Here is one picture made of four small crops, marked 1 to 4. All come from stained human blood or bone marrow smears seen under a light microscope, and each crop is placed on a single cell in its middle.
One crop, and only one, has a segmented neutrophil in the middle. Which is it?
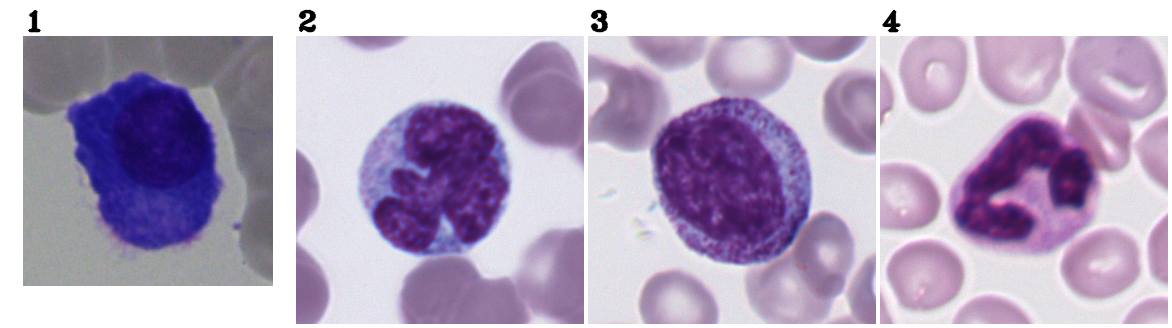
4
